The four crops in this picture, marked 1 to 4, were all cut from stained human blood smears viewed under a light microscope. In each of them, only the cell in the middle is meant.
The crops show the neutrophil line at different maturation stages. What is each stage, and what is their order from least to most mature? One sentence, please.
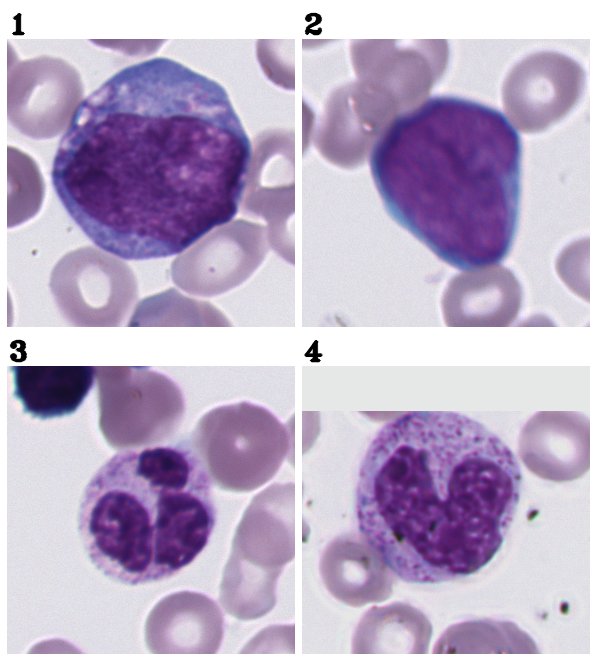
Reading from least to most mature, the order comes out as crop 2 (a myeloblast), crop 1 (a promyelocyte), crop 4 (a band neutrophil) and crop 3 (a segmented neutrophil).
